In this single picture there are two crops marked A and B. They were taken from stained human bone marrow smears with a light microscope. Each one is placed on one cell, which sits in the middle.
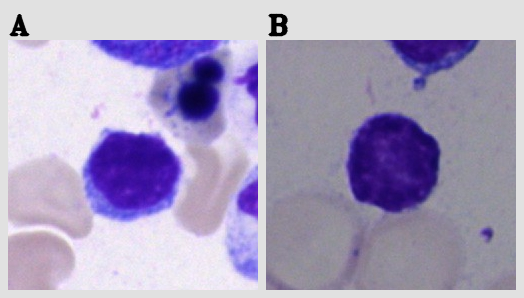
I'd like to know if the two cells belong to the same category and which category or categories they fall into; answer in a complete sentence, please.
Yes, that is right, both crops show lymphocytes.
